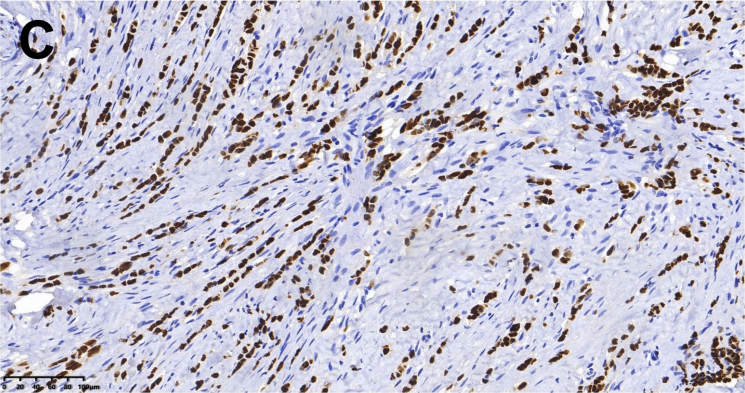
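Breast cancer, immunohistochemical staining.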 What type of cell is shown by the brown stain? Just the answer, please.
Tumor cells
